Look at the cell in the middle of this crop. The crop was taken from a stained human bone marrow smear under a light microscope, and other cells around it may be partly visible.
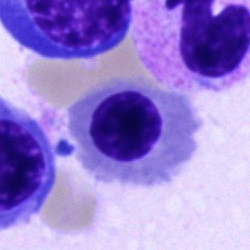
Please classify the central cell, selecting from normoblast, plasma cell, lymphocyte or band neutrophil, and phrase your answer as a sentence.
As for the central cell, it is a normoblast.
